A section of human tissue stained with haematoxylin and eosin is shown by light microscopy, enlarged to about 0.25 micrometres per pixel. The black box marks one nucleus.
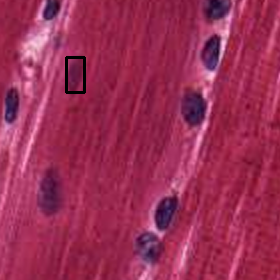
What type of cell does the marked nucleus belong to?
skeletal muscle fibre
